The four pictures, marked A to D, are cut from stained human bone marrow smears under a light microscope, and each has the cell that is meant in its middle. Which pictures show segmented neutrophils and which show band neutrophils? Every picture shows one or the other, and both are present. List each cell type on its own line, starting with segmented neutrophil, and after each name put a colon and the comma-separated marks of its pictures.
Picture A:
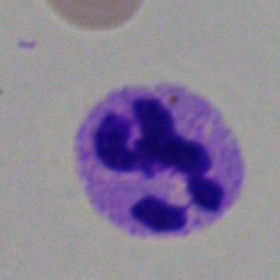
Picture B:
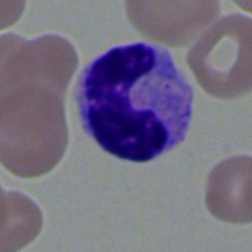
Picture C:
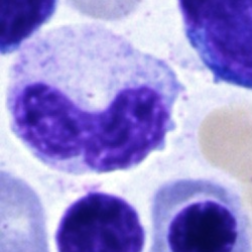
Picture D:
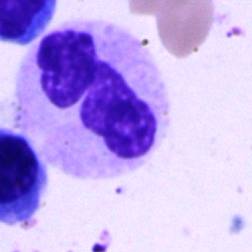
segmented neutrophil: A, B, D
band neutrophil: C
